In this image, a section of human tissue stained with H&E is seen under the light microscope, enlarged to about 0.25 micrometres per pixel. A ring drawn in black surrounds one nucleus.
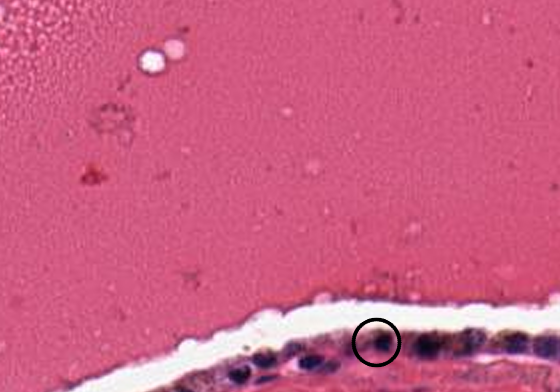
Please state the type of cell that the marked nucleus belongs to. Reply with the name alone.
thyroid follicular cell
